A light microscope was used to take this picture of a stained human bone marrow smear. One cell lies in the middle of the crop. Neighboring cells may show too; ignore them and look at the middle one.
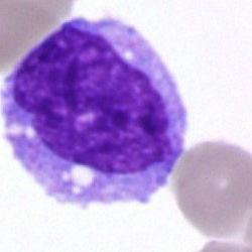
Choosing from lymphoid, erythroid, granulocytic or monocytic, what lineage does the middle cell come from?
monocytic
